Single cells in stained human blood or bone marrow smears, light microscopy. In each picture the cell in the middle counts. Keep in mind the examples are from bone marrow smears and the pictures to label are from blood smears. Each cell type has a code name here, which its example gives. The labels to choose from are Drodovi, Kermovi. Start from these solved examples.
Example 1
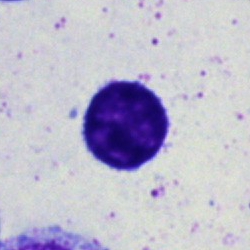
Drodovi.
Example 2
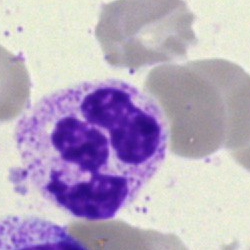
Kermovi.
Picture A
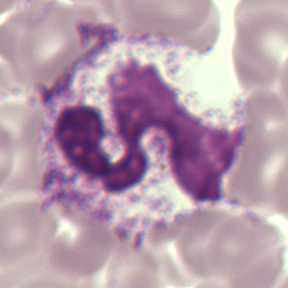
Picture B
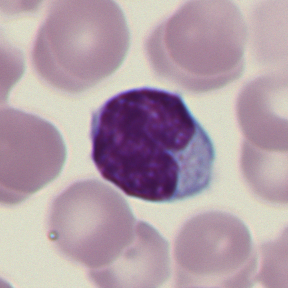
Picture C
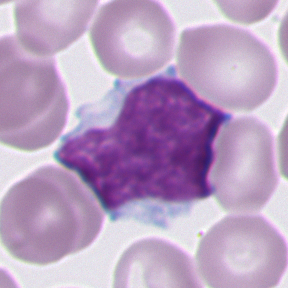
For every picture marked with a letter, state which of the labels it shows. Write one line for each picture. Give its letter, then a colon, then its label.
A: Kermovi.
B: Drodovi.
C: Drodovi.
